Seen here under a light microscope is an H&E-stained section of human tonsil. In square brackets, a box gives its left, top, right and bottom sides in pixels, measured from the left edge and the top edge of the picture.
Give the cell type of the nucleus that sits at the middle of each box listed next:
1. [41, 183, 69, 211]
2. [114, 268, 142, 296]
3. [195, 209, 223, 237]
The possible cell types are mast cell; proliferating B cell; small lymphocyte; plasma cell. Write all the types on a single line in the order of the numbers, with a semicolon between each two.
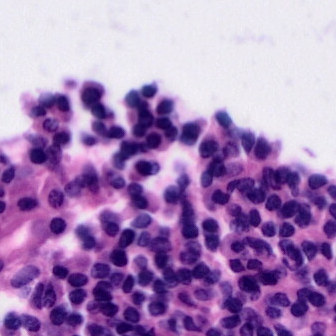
plasma cell; small lymphocyte; small lymphocyte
